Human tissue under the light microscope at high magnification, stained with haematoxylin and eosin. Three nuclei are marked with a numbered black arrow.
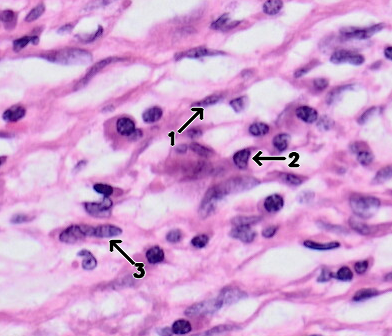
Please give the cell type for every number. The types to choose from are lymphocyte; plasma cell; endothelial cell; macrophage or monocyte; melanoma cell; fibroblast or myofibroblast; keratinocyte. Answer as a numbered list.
1. fibroblast or myofibroblast
2. plasma cell
3. macrophage or monocyte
